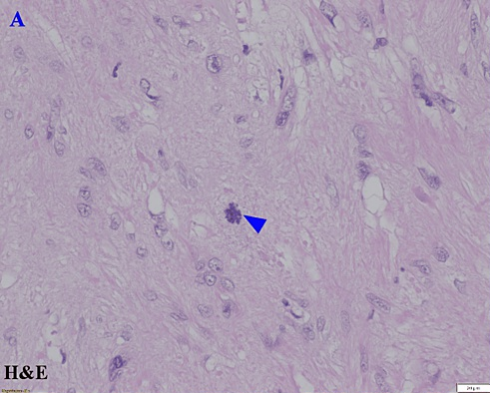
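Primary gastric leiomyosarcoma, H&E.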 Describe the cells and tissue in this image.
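This is a tumor made of spindle-shaped to plump cells with pale pink, finely fibrillar cytoplasm, running in loose, intersecting streams. The nuclei are oval to elongated and vary in size and shape, some being hyperchromatic and irregular. Small clear vacuoles are scattered between the cells. A dividing cell shows as a dark clump of chromatin near the centre.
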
